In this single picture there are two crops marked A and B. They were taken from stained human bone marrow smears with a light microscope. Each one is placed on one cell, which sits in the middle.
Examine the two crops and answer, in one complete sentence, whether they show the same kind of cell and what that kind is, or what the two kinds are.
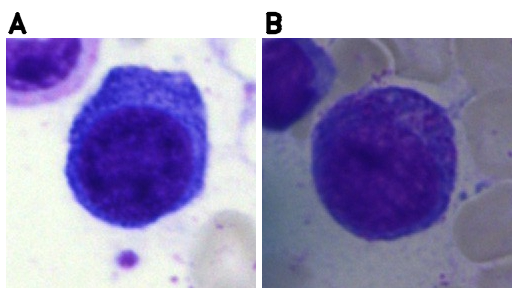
No, the cell that crop A shows is a proerythroblast, and the one crop B shows is a promyelocyte.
